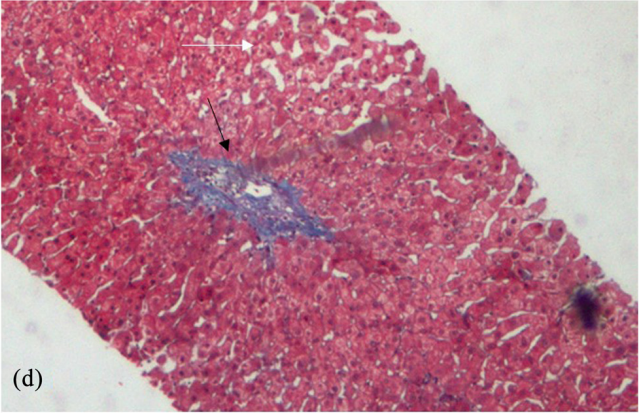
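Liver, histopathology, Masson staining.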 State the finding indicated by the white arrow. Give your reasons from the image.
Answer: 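Hepatic sinusoidal dilatation. The arrow points at widened clear spaces between red-stained hepatocyte plates. Clear gaps between the plates are seen across much of the tissue.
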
